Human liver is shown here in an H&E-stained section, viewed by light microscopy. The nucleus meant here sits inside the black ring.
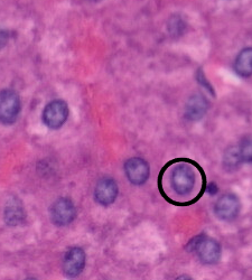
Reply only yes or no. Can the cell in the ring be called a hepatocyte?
yes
